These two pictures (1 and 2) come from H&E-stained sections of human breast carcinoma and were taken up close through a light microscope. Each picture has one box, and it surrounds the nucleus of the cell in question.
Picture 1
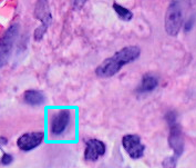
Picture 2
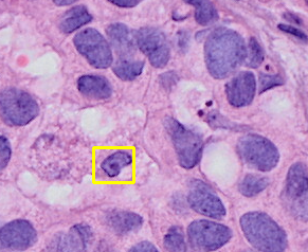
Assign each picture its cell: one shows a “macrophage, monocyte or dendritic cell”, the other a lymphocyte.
1: lymphocyte
2: macrophage, monocyte or dendritic cell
